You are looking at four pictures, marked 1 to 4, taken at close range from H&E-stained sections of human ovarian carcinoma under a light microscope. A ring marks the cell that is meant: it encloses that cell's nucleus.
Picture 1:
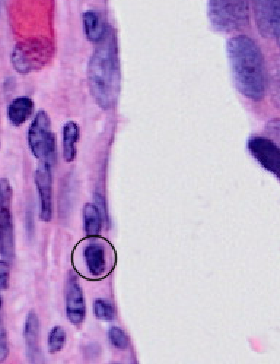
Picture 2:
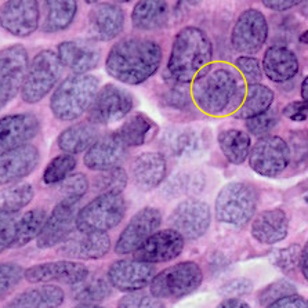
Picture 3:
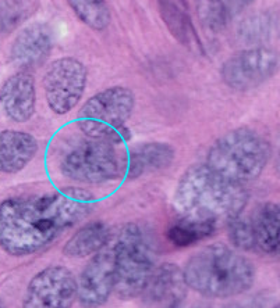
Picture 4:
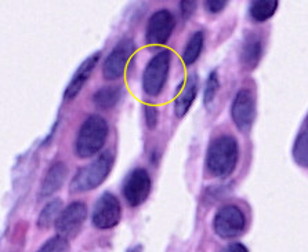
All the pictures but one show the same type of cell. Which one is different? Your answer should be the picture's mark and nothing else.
1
